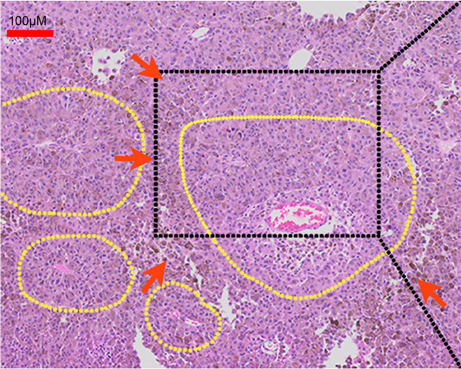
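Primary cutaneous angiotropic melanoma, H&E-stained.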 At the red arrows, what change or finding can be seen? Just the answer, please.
areas of tumor cell death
